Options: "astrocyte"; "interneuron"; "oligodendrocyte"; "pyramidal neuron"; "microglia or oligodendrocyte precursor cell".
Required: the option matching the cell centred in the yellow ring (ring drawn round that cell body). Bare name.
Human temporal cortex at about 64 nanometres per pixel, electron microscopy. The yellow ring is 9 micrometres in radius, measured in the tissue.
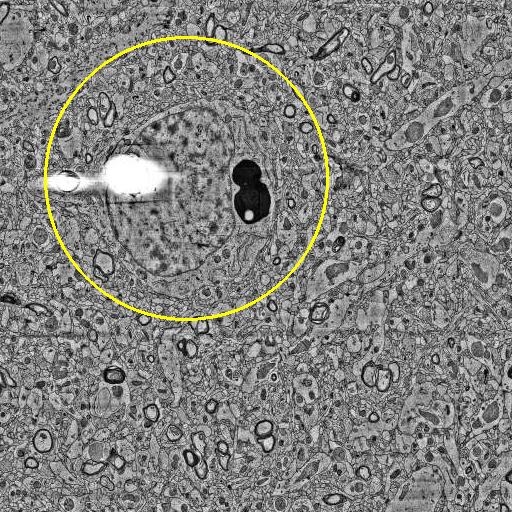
interneuron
